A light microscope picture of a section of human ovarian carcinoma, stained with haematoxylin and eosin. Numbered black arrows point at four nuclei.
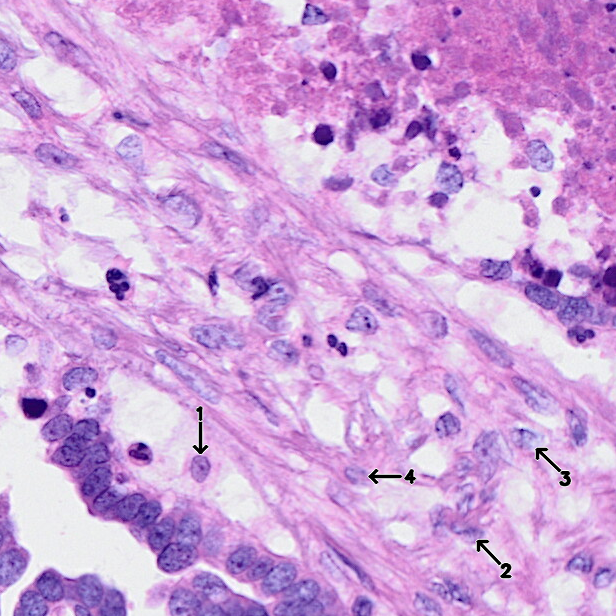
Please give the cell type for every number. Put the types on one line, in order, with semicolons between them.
macrophage or monocyte; fibroblast; fibroblast; fibroblast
